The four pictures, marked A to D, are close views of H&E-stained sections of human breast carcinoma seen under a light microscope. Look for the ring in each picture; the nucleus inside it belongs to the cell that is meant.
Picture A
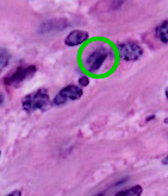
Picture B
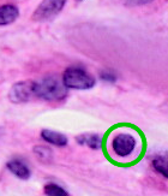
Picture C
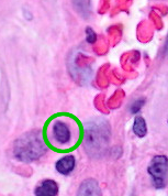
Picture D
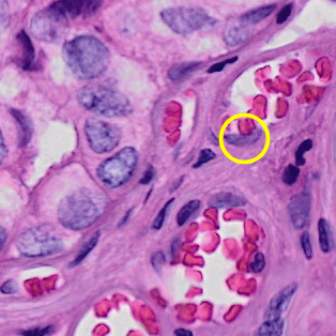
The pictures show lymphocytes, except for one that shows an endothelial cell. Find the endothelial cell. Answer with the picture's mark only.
D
